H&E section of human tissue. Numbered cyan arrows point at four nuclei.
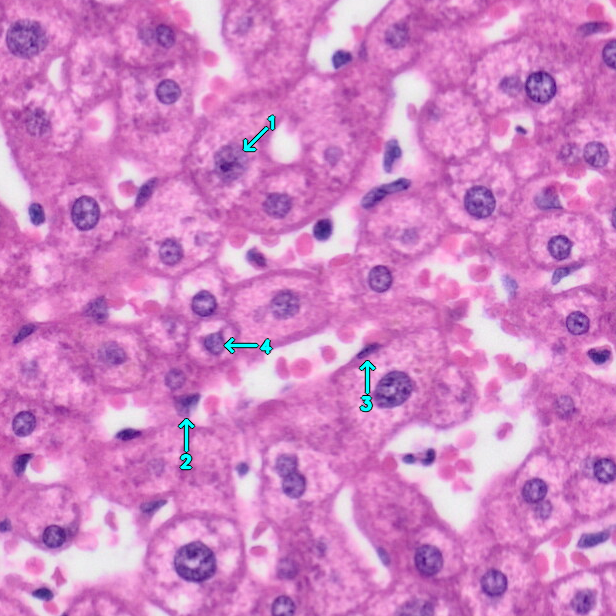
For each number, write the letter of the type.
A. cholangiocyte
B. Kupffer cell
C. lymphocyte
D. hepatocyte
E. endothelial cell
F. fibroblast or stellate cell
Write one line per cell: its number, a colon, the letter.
1: D
2: E
3: E
4: D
